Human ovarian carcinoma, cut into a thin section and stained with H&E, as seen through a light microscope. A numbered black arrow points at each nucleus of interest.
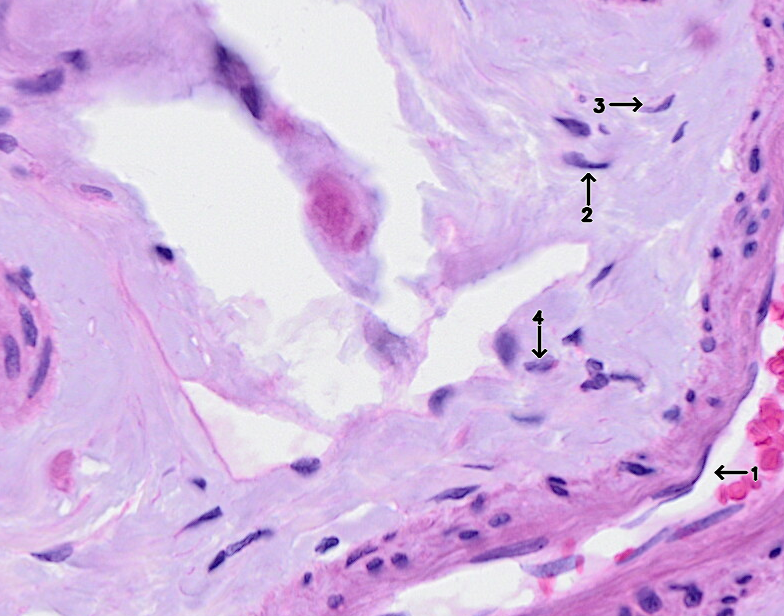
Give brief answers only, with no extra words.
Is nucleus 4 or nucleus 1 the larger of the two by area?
1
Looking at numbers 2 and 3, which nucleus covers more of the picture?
2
